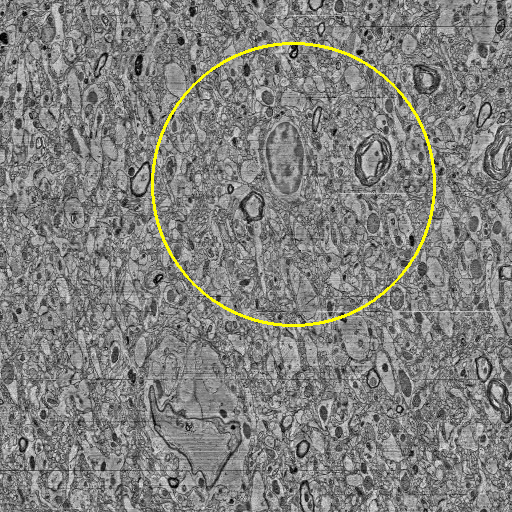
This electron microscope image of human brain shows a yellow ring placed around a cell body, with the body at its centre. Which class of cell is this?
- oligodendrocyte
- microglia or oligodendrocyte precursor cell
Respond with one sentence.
The cell body at the ring's centre is a microglial cell or oligodendrocyte precursor cell.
